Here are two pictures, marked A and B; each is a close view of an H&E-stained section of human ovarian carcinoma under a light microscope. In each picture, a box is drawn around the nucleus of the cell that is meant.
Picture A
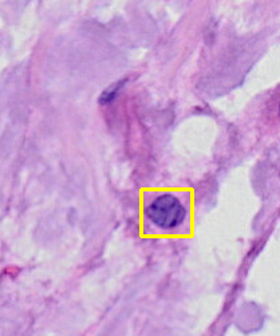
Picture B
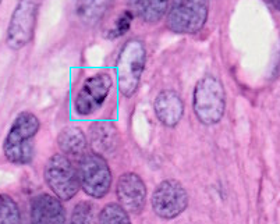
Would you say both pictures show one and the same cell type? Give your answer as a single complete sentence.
Yes; the cells in both pictures are “macrophages or monocytes”.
